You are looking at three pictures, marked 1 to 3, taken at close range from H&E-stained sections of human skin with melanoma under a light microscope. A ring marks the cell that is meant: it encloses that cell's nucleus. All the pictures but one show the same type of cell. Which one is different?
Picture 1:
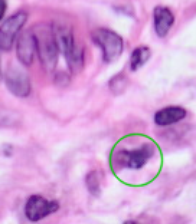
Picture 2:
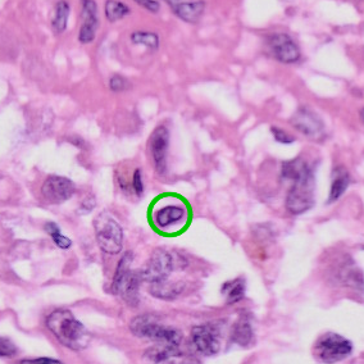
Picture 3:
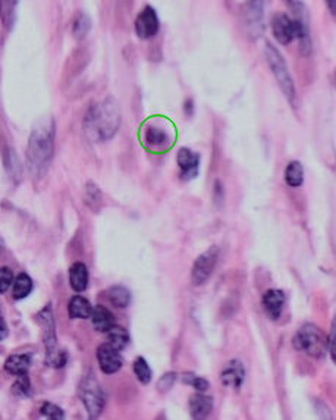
2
